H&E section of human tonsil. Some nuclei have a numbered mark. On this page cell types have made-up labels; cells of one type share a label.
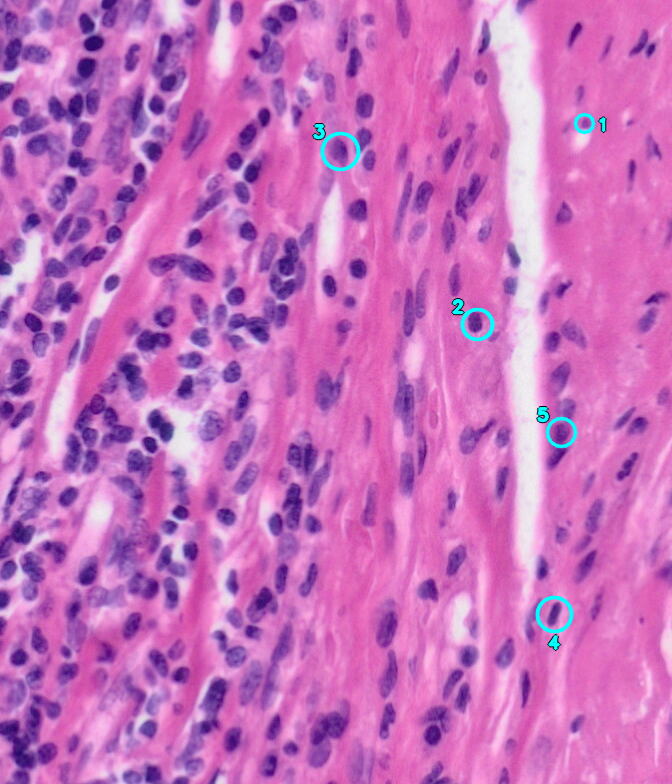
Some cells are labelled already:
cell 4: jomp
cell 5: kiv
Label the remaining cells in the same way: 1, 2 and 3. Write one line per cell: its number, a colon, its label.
1: kiv
2: jomp
3: kiv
